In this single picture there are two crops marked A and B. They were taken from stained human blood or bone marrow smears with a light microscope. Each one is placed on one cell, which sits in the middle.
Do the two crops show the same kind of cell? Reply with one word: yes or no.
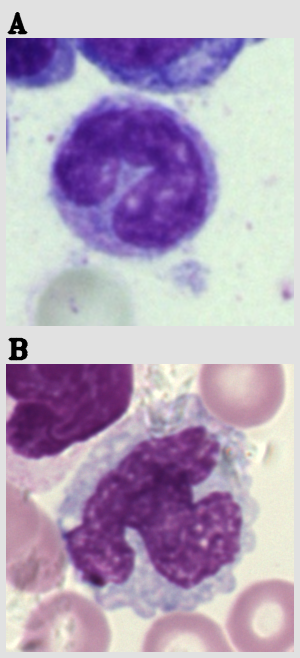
yes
